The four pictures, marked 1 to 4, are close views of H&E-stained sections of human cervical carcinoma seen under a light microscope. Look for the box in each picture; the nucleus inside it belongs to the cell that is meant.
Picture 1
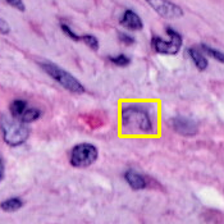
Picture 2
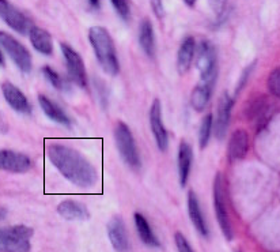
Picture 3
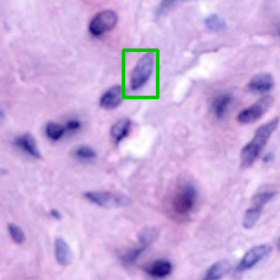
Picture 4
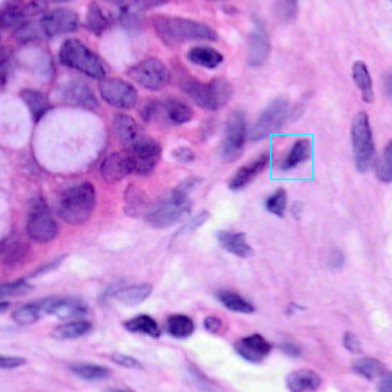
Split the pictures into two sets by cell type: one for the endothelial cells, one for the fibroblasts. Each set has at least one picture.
1: endothelial cell
2: fibroblast
3: fibroblast
4: fibroblast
